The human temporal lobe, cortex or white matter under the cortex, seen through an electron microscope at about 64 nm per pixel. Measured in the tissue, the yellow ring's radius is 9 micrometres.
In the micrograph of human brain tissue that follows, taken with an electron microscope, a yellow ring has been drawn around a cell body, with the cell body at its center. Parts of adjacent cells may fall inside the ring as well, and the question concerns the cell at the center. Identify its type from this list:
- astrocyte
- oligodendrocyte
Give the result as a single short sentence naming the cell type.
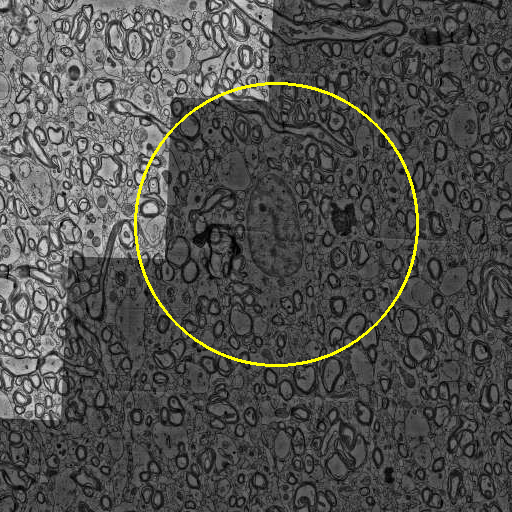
The ring is centered on an oligodendrocyte.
